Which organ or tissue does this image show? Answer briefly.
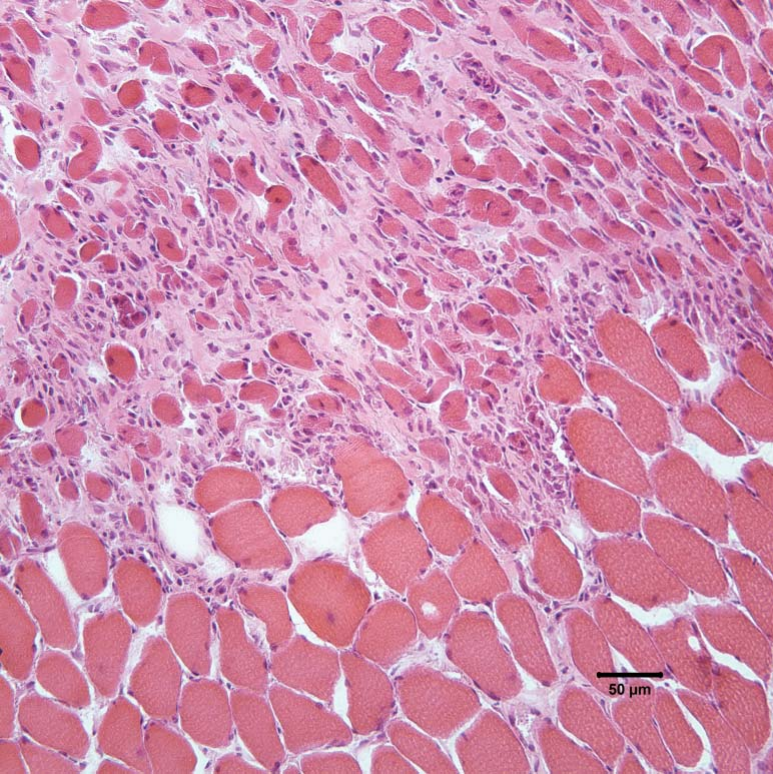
Skeletal muscle.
